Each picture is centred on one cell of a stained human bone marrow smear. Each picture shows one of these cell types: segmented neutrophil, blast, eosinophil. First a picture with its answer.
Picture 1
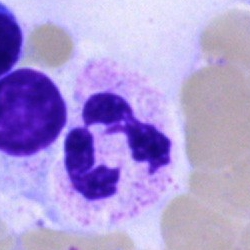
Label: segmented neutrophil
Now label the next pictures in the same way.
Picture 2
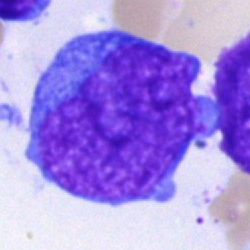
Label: blast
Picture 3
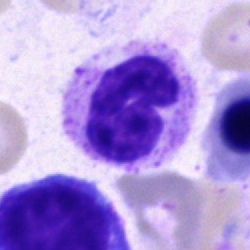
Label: segmented neutrophil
